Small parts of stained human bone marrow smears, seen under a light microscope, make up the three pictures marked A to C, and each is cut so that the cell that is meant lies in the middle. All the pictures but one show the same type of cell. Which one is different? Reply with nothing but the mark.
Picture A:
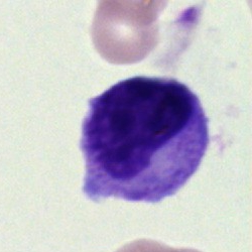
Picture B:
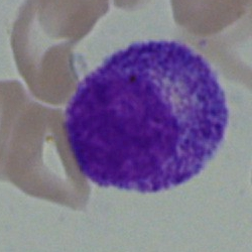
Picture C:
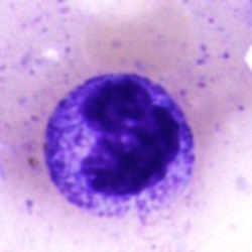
B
